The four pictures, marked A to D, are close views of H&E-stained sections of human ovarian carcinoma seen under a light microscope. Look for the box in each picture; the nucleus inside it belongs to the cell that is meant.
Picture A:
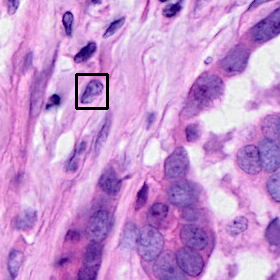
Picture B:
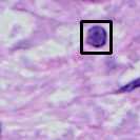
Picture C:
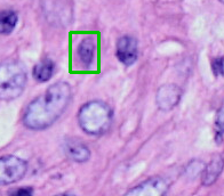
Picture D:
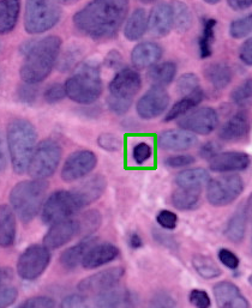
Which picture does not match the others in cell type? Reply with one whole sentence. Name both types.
Picture C is the odd one out: it shows a “macrophage or monocyte”, while the others show lymphocytes.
